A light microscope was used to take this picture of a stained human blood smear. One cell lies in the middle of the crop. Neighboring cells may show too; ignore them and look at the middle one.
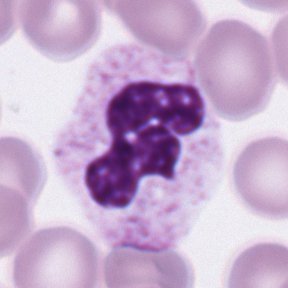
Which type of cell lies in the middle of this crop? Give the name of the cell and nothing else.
segmented neutrophil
